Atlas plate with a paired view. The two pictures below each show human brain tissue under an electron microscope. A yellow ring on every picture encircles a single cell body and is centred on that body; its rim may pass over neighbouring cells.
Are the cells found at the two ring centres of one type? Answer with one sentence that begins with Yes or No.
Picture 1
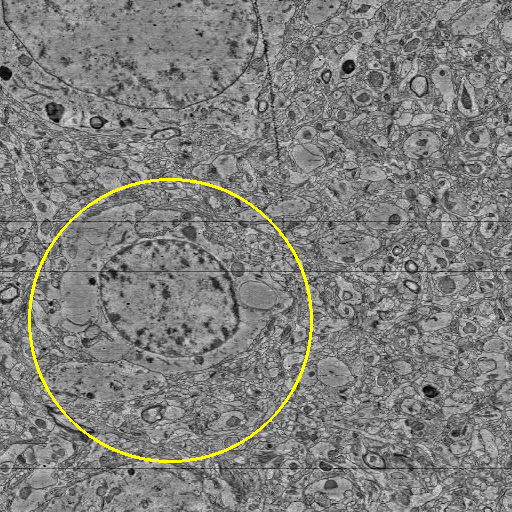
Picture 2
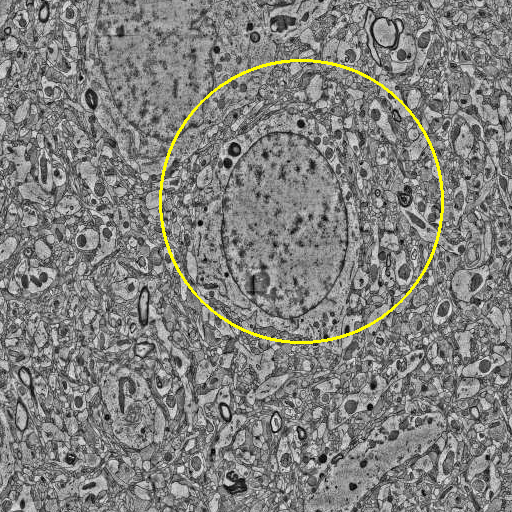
No, the two cells lying at the centres of the rings are of two types.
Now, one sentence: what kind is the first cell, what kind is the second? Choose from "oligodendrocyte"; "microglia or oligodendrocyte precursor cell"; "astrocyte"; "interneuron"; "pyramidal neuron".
The first picture has an astrocyte at its ring centre, and the second has a pyramidal neuron.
